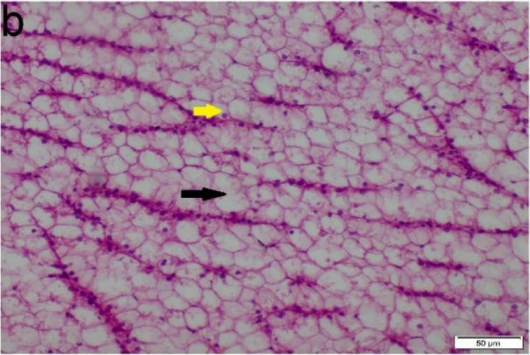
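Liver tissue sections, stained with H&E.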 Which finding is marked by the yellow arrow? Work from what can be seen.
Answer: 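Vacuolar degeneration of hepatocytes. The liver cells are swollen with clear, empty-looking cytoplasm. Cell borders form a network of large pale polygons. Nuclei are sparse and pushed into dark strands between the pale cells.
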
